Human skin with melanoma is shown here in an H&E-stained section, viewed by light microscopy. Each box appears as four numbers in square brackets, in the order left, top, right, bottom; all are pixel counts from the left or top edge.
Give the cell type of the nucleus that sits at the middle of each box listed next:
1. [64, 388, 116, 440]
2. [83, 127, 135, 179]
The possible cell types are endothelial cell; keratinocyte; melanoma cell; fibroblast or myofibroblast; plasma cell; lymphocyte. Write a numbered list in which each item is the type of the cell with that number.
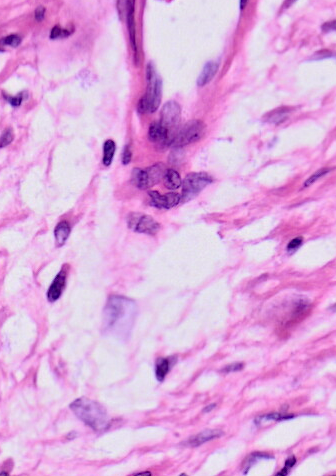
1. fibroblast or myofibroblast
2. lymphocyte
